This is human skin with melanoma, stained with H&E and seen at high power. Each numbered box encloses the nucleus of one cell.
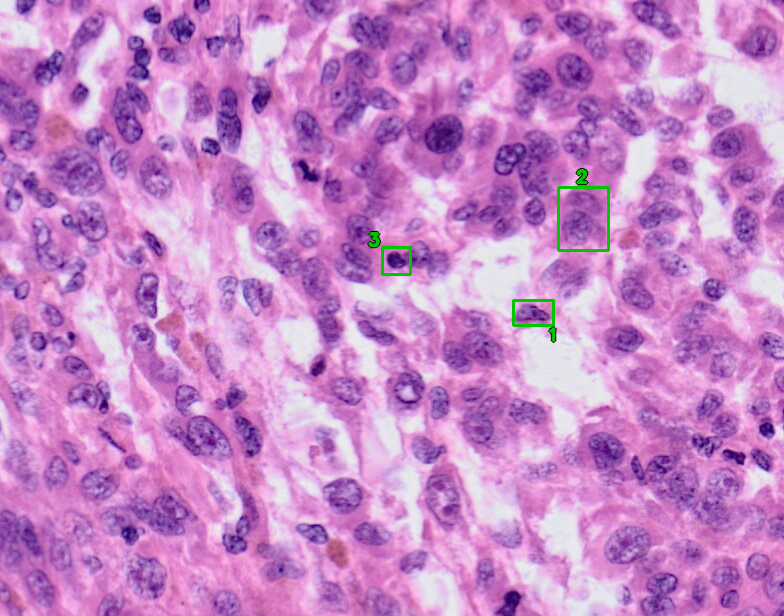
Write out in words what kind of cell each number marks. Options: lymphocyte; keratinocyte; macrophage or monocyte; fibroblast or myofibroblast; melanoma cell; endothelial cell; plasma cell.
Cell 1 is a macrophage or monocyte. Cell 2 is a melanoma cell. Cell 3 is a lymphocyte.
